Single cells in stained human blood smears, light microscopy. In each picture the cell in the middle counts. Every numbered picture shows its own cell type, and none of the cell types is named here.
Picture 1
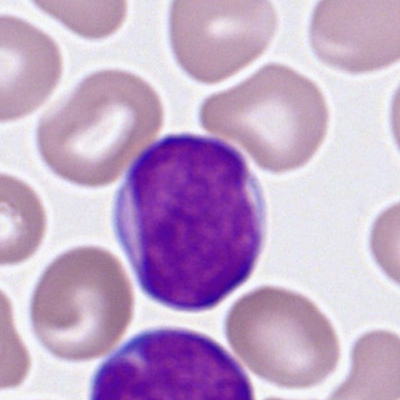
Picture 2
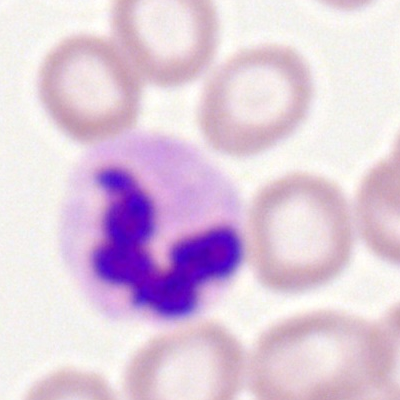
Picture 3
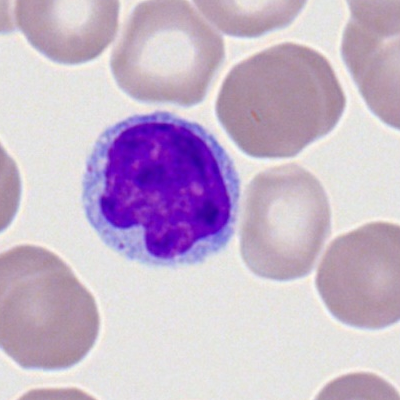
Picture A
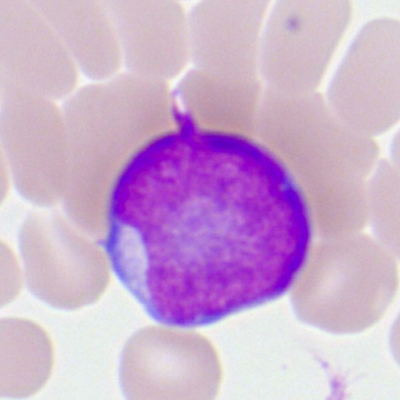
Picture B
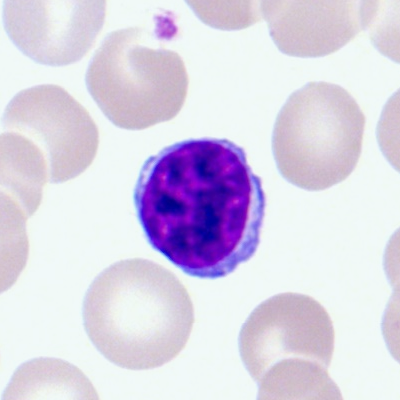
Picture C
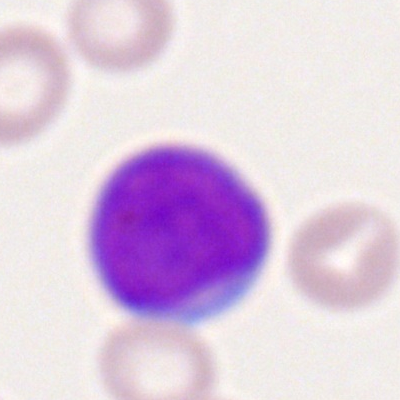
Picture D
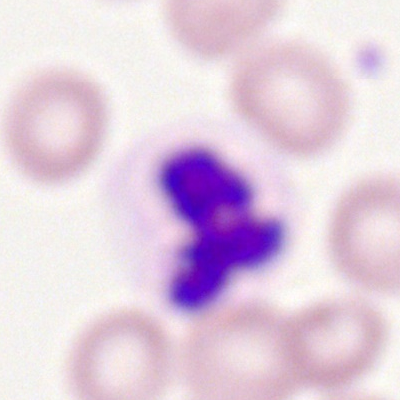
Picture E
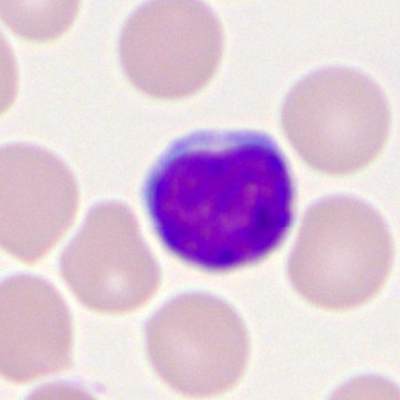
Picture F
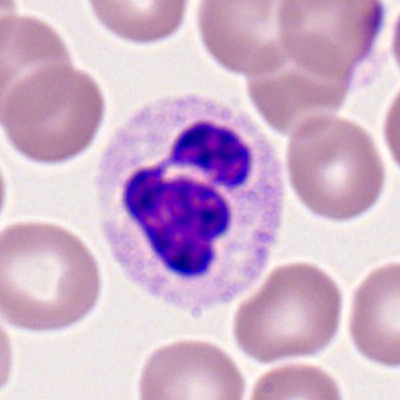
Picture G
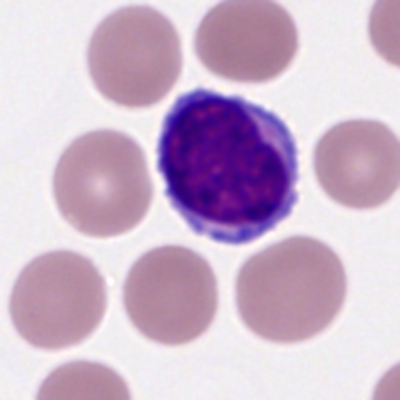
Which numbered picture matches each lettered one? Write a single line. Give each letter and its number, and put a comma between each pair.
A 1, B 3, C 1, D 2, E 3, F 2, G 3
